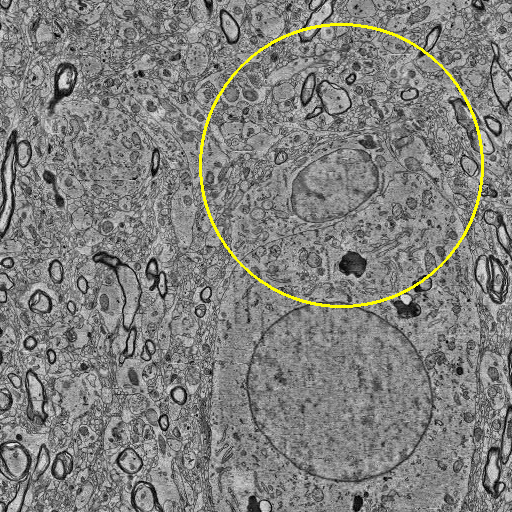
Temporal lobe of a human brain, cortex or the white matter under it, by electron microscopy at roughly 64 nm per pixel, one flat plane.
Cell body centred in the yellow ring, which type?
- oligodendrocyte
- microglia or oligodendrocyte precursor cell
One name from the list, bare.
microglia or oligodendrocyte precursor cell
